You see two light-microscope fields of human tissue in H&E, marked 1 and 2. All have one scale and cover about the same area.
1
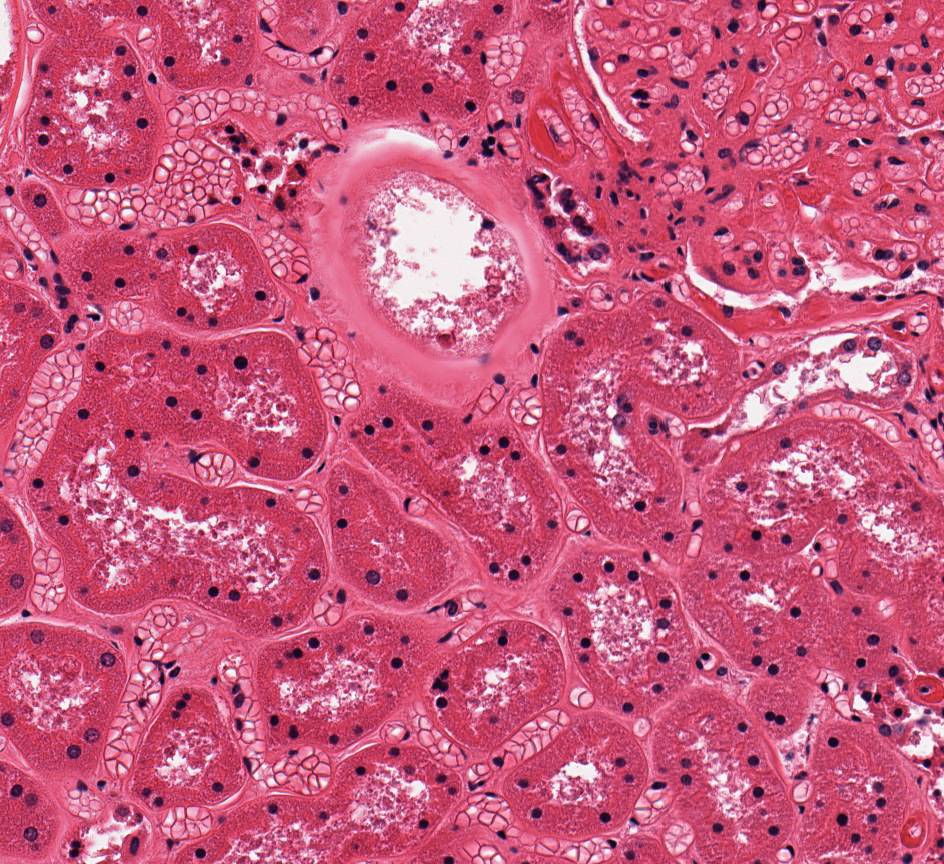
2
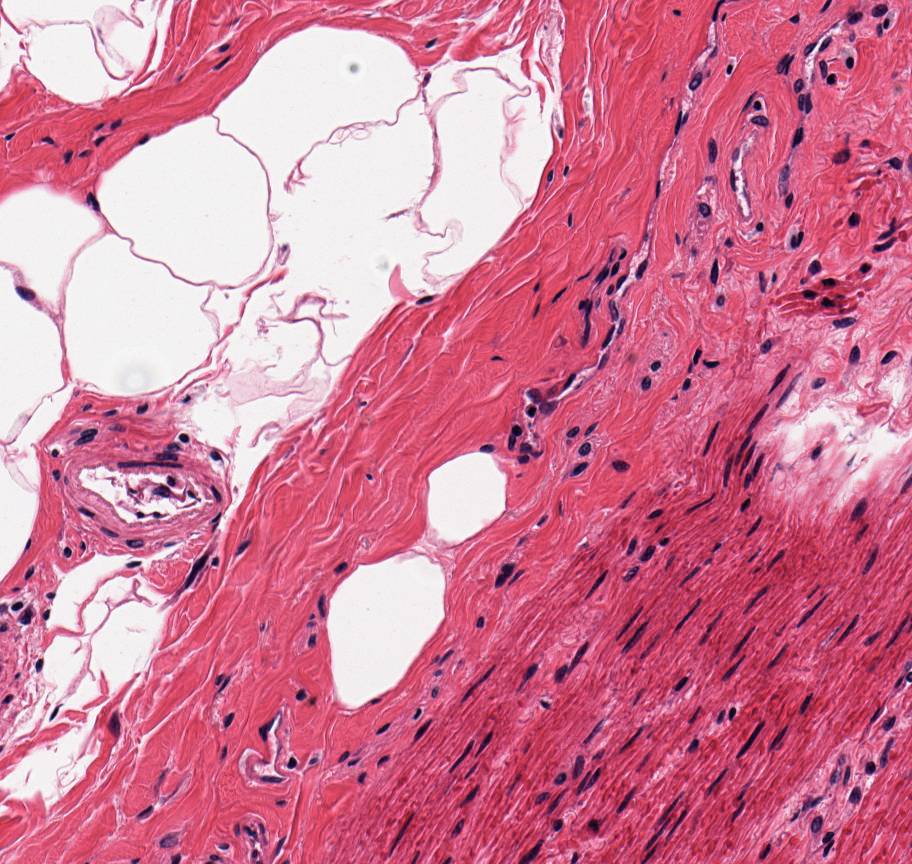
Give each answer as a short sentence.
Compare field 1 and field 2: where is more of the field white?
Unstained space takes up more of field 2 than of field 1.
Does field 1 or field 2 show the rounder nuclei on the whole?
It is field 1 whose nuclei are the rounder.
